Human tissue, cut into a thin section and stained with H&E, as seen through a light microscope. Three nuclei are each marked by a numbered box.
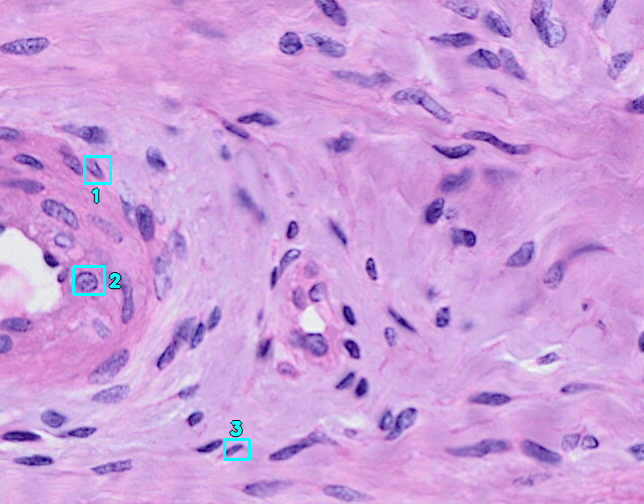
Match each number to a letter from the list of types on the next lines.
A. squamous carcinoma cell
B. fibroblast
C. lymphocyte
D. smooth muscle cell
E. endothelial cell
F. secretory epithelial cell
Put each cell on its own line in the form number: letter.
1: D
2: D
3: B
